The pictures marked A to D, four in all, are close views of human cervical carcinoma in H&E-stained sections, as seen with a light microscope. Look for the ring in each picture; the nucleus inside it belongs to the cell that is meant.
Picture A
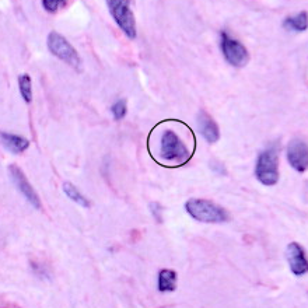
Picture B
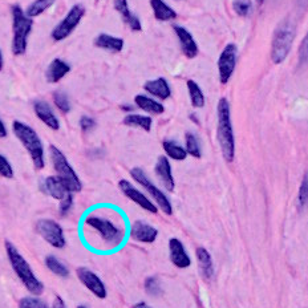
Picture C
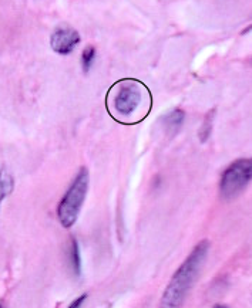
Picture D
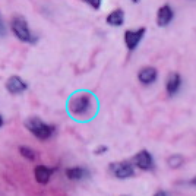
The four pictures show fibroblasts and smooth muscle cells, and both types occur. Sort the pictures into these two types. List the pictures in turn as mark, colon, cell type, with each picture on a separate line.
A: fibroblast
B: fibroblast
C: fibroblast
D: smooth muscle cell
